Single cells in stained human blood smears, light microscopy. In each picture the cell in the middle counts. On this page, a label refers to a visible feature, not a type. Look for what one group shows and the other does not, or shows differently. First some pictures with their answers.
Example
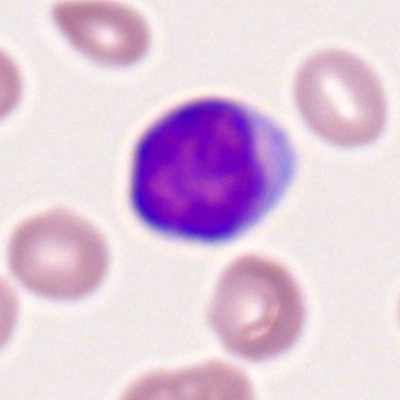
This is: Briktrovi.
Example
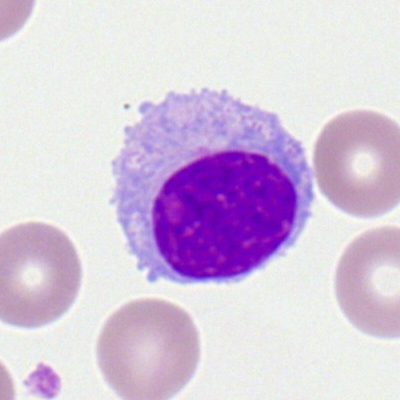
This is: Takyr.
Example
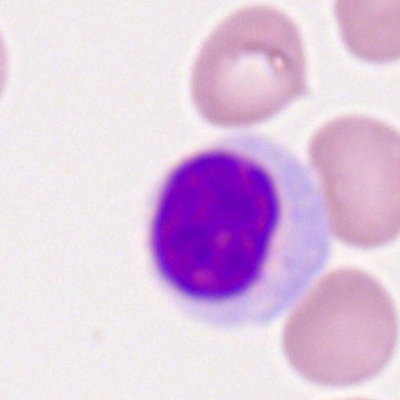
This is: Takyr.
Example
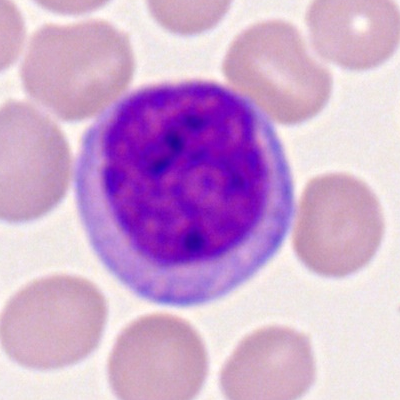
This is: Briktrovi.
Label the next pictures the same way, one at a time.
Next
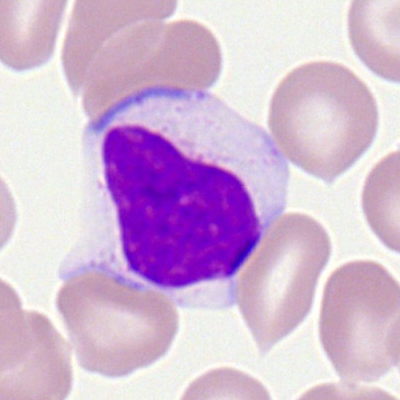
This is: Takyr.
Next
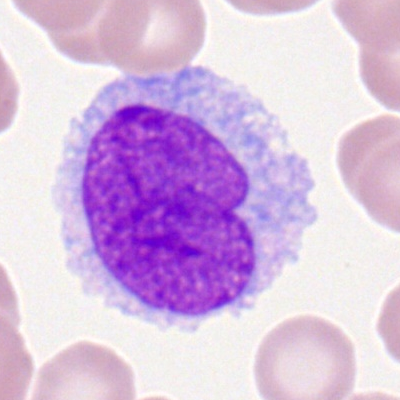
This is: Takyr.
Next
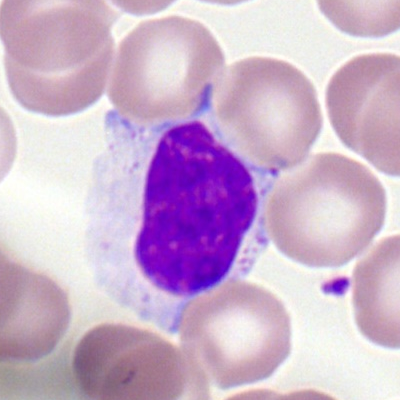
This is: Takyr.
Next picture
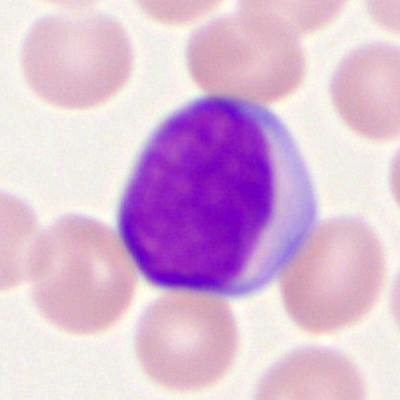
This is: Briktrovi.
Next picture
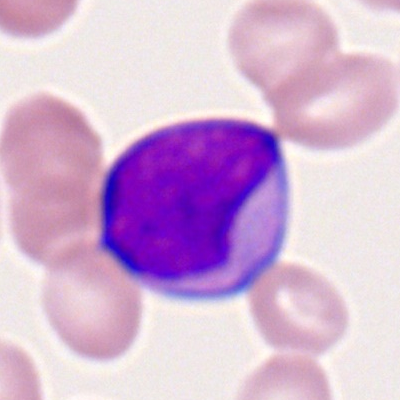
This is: Briktrovi.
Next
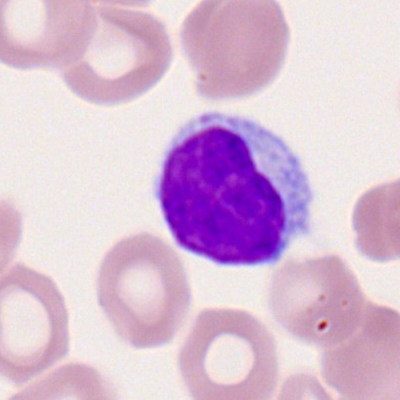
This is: Briktrovi.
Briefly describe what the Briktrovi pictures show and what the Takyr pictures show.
Seen in Briktrovi: scant cytoplasm; seen in Takyr: abundant cytoplasm.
